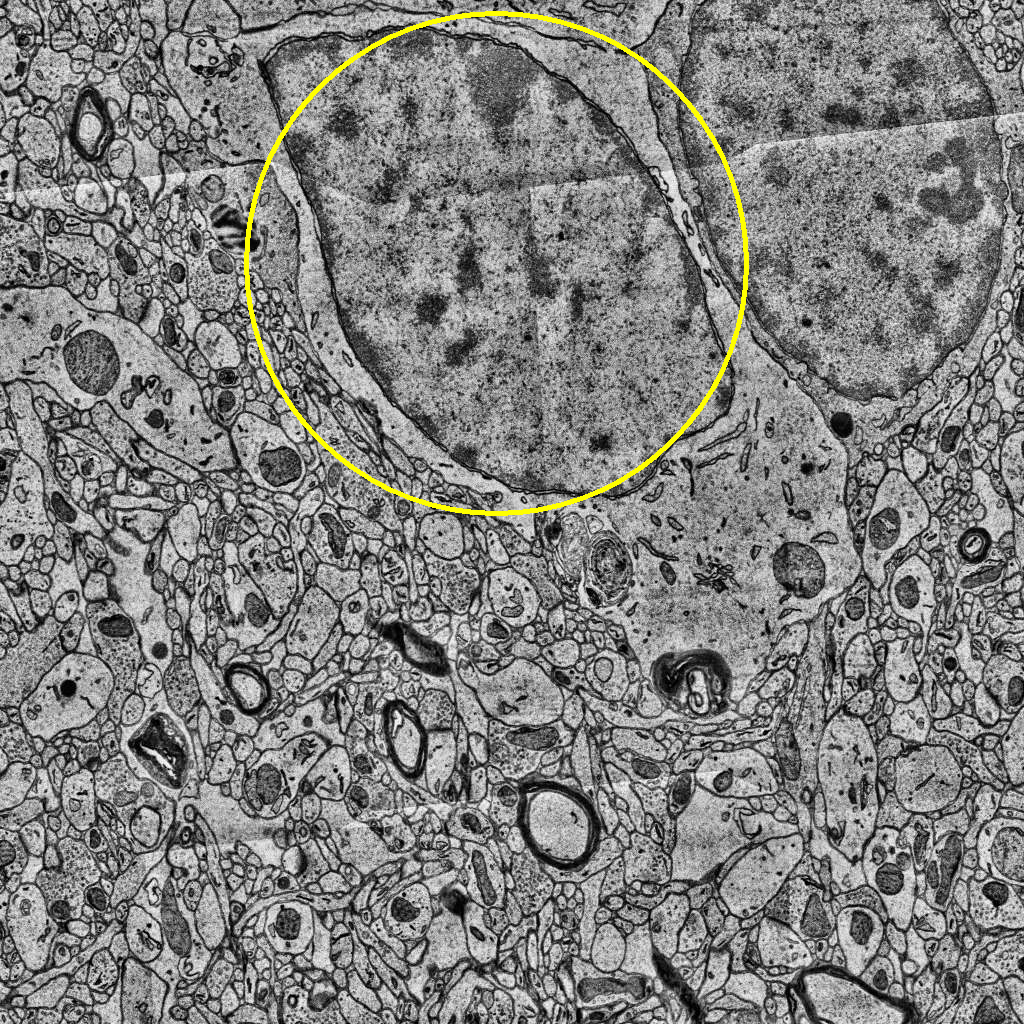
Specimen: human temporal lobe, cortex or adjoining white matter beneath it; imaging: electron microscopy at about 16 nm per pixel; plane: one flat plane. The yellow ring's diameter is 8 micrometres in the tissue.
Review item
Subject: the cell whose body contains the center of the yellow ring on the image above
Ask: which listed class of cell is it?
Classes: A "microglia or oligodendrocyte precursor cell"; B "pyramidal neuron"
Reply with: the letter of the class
A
